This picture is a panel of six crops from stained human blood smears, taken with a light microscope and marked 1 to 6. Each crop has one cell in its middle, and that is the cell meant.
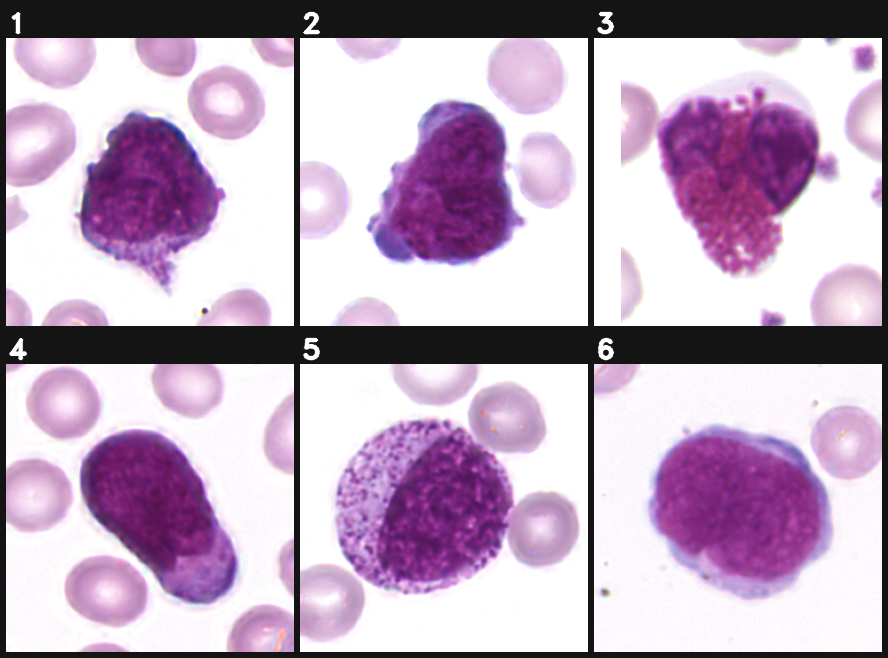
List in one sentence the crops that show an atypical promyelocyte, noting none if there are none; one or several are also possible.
With regard to crops 1, 2, 4 and 6, the central cells are atypical promyelocytes.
